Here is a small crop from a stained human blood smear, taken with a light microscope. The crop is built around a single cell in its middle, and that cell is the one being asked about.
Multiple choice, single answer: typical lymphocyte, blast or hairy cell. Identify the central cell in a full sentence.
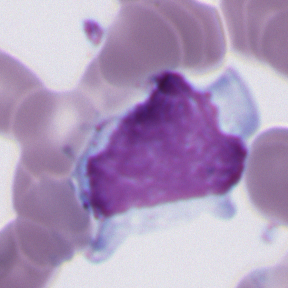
The crop shows a typical lymphocyte in its centre.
